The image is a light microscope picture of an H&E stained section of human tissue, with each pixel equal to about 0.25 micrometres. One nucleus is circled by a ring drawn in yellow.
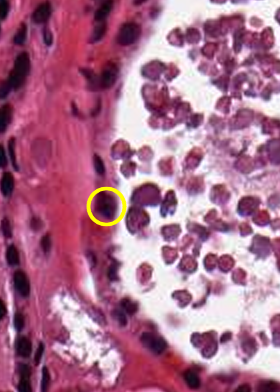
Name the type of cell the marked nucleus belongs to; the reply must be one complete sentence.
The marked nucleus sits within a thyroid follicular cell.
